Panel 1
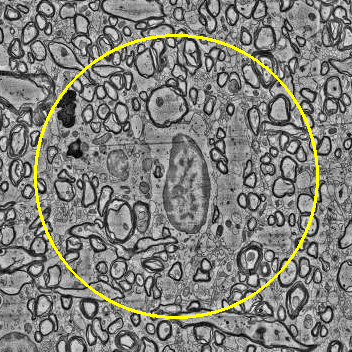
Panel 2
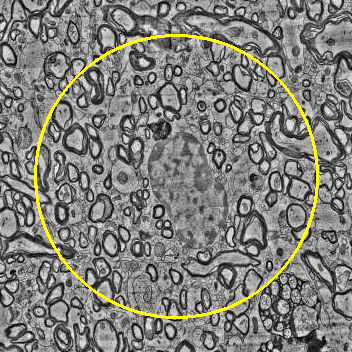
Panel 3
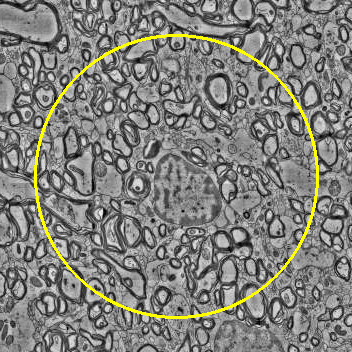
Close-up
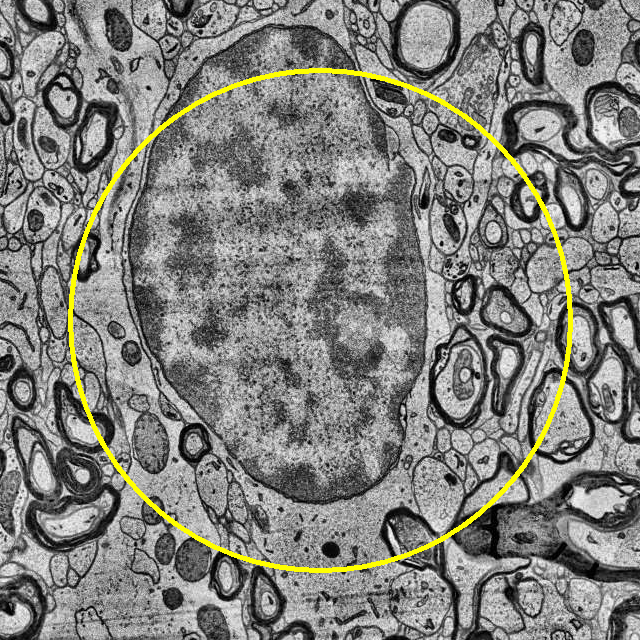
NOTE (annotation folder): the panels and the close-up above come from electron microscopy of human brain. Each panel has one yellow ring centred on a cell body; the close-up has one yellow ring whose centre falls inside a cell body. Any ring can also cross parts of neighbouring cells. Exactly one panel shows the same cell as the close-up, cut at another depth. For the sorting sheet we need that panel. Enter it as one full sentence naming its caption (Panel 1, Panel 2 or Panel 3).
The encircled cell in Panel 1 is the cell in the close-up.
